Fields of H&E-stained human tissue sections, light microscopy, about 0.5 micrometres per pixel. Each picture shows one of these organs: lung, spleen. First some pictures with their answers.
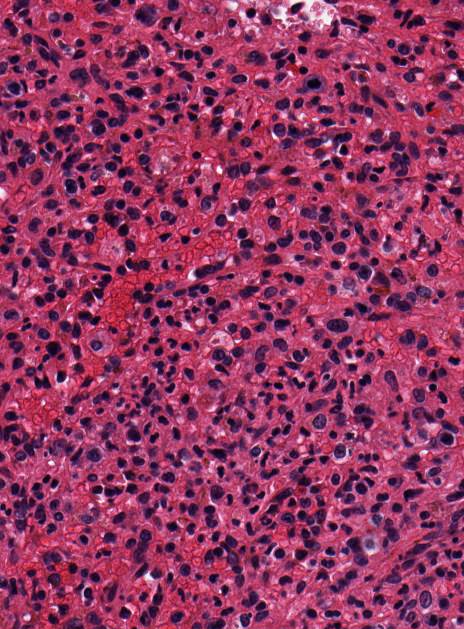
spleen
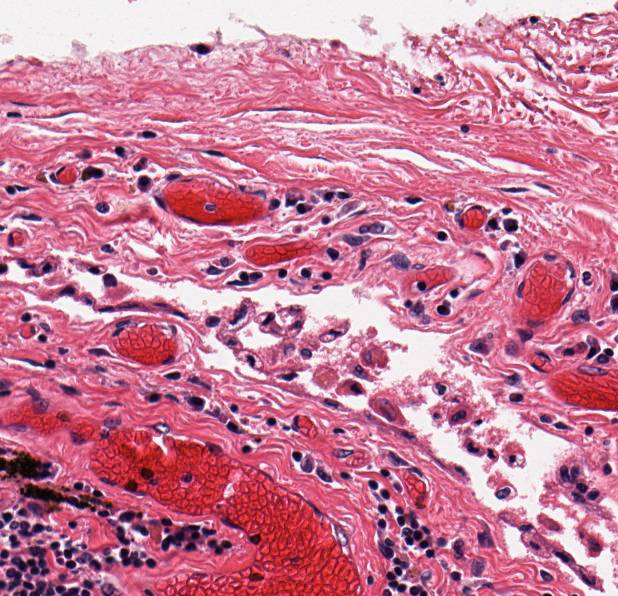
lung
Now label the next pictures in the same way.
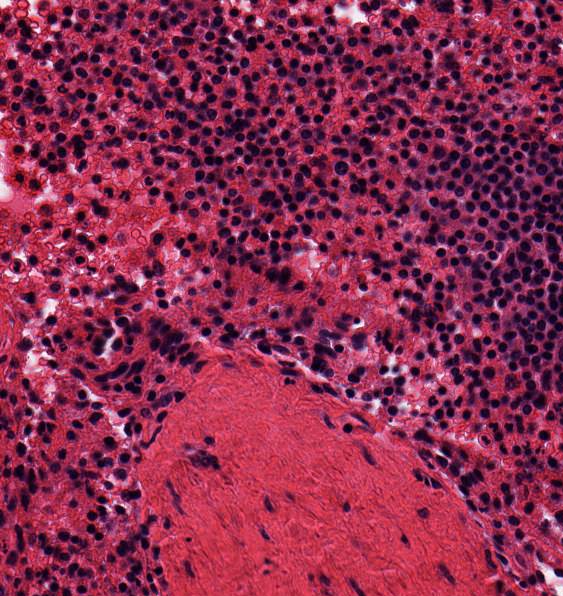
spleen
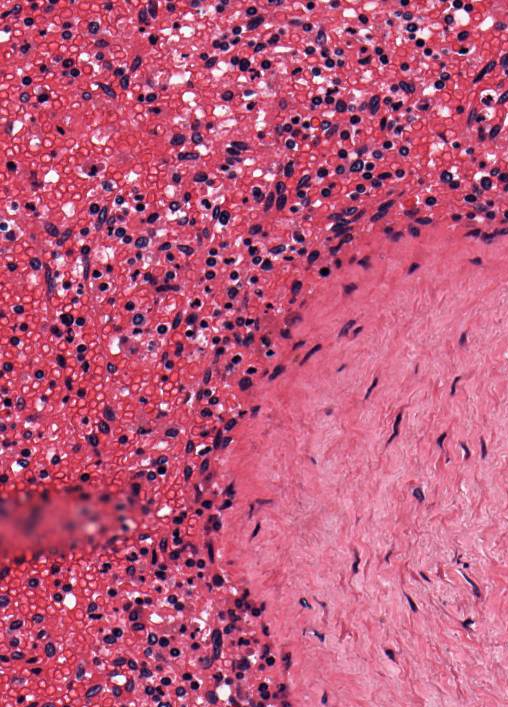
spleen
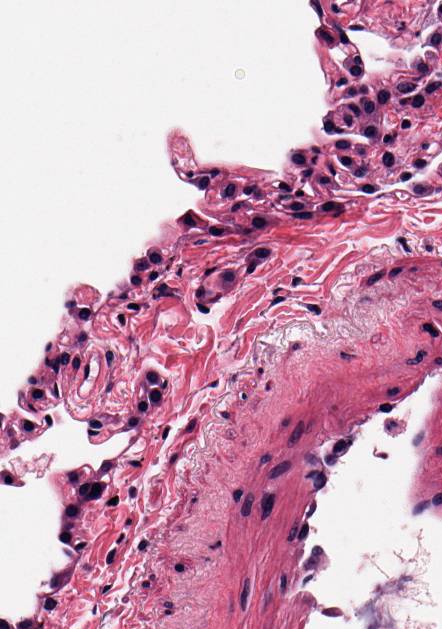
lung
